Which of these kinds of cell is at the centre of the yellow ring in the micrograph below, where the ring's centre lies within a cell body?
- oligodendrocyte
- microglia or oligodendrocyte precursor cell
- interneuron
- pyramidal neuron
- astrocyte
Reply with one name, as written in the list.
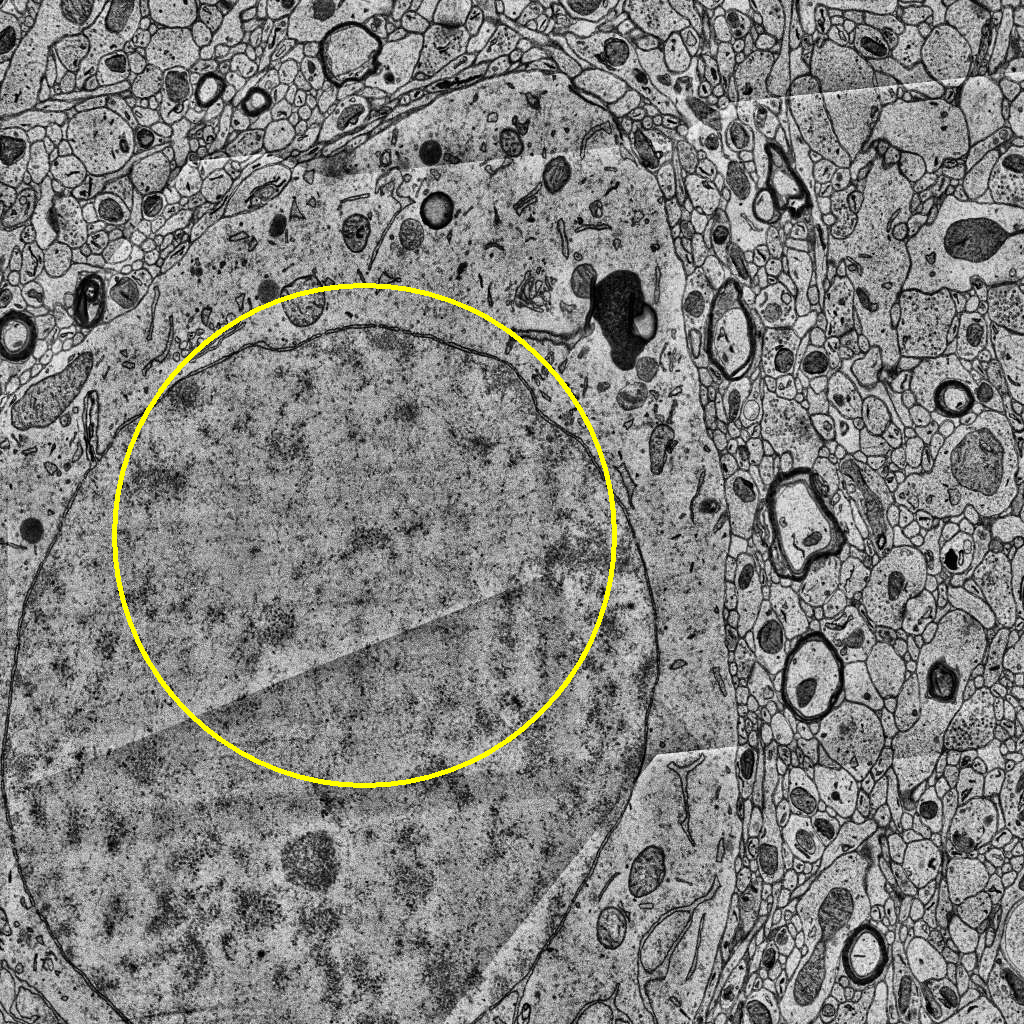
pyramidal neuron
